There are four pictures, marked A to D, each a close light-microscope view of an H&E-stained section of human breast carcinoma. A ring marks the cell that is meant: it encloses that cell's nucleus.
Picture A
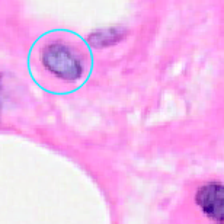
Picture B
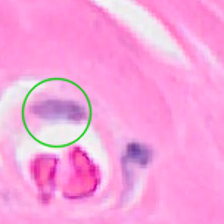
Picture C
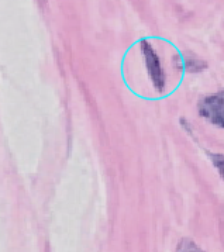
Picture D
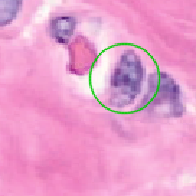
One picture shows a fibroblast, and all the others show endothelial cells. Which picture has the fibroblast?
C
